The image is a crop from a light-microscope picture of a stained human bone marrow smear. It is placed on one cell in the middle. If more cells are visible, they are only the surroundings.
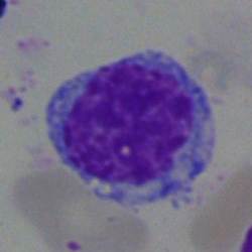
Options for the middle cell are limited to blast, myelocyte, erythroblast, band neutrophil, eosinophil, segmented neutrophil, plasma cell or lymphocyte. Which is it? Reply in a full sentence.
Classified as a plasma cell is the cell in the middle of this crop.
